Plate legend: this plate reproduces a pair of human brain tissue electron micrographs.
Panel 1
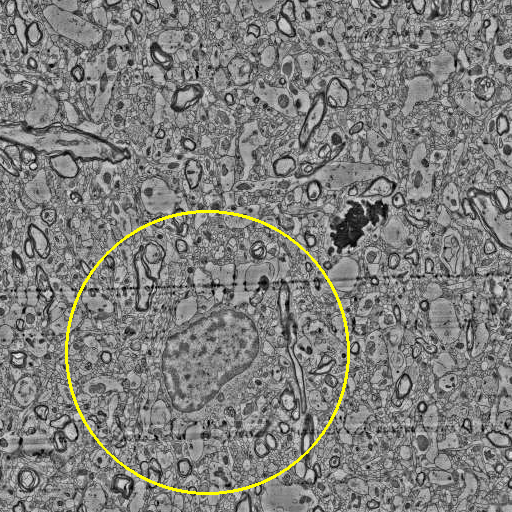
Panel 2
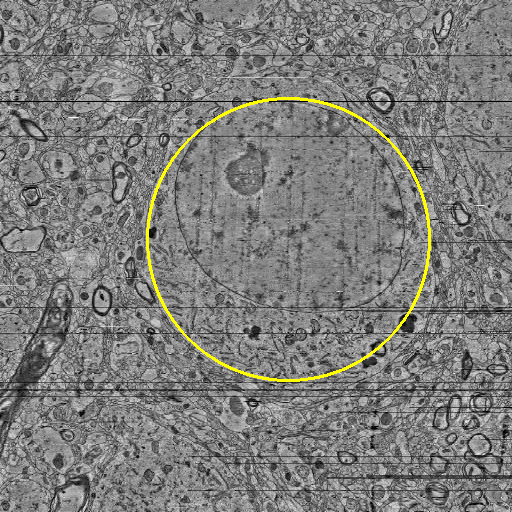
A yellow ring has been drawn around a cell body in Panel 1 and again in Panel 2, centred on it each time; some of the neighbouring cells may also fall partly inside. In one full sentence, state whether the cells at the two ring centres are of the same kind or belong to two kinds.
The ring-centred cells of Panel 1 and Panel 2 belong to two kinds.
